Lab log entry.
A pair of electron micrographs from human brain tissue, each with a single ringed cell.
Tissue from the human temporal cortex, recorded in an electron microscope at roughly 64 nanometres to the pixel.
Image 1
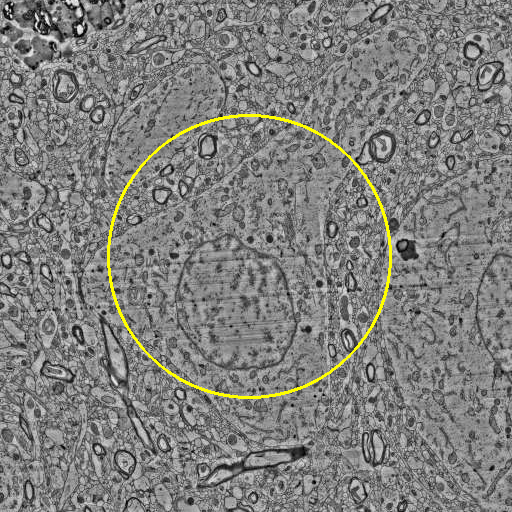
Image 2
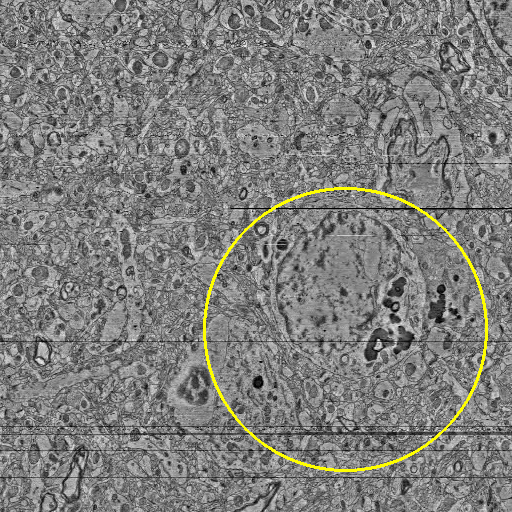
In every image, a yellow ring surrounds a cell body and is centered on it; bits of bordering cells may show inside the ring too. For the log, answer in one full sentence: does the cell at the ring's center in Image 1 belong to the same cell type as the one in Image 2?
No, the cells at the ring centers in Image 1 and Image 2 are of separate types.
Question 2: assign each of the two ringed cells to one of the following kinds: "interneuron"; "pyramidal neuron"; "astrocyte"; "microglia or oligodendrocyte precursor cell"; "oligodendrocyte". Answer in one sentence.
The two cells are a pyramidal neuron in the first picture and an interneuron in the second.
